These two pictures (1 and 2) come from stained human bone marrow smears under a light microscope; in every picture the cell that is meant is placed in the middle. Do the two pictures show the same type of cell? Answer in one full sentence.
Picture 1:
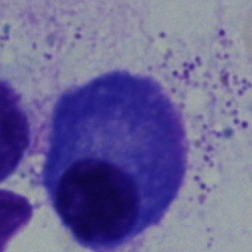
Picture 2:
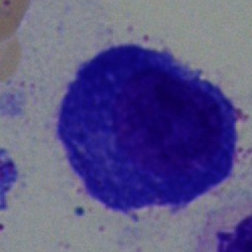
Yes, both cells are plasma cells.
